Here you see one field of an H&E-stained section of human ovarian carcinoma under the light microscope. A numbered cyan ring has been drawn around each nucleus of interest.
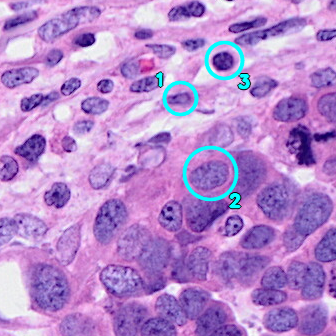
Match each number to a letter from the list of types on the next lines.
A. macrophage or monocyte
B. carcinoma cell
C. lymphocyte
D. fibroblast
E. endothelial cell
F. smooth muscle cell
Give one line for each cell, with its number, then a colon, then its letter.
1: A
2: B
3: C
